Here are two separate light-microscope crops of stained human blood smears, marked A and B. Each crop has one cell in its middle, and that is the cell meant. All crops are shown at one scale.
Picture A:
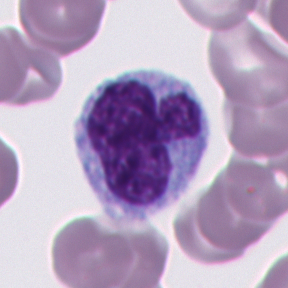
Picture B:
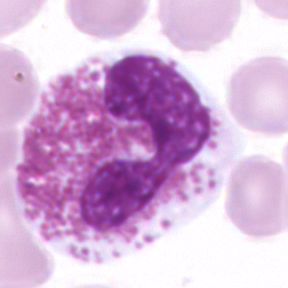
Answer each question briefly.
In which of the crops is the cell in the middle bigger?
B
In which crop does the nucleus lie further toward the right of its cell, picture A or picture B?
B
